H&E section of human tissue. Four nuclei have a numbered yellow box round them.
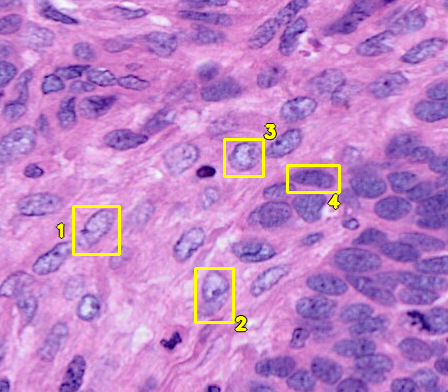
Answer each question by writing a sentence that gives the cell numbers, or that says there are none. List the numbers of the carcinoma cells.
Only number 4 is a carcinoma cell; none of the others are.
